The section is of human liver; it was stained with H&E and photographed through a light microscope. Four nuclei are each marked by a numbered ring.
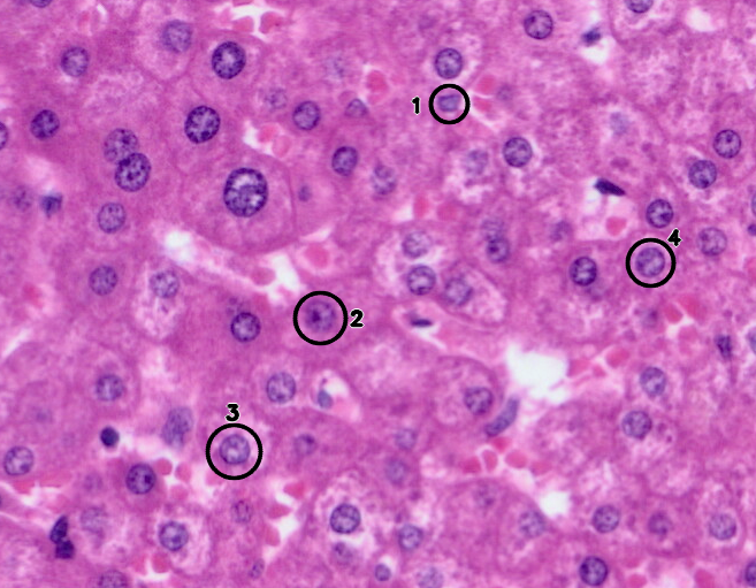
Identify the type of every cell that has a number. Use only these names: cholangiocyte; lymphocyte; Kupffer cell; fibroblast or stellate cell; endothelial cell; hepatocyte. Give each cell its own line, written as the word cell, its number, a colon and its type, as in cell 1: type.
cell 1: fibroblast or stellate cell
cell 2: hepatocyte
cell 3: hepatocyte
cell 4: hepatocyte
